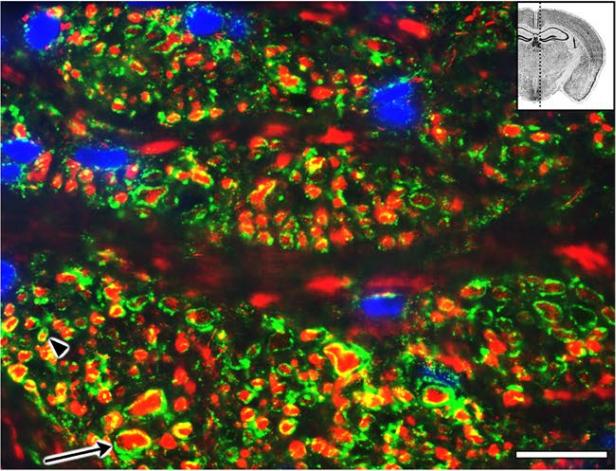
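The profiles vary widely in size, from small dots to a few much larger rings, and are packed into separate clusters. Between the bundles run darker bands with elongated red profiles and scattered oval blue nuclei.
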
